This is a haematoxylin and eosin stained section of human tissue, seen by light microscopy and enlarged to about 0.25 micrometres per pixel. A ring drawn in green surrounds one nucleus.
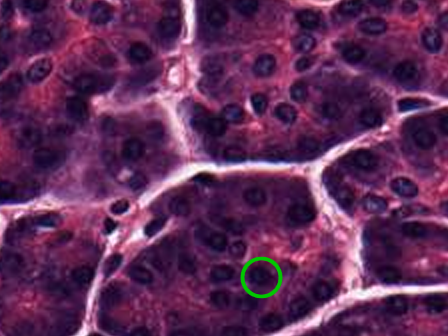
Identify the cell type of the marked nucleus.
pancreatic acinar cell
